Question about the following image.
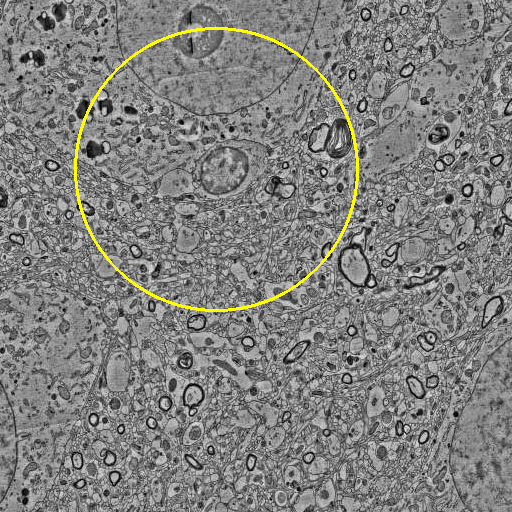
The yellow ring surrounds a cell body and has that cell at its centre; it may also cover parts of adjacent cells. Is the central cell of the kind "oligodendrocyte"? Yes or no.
Yes, it is of that kind.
